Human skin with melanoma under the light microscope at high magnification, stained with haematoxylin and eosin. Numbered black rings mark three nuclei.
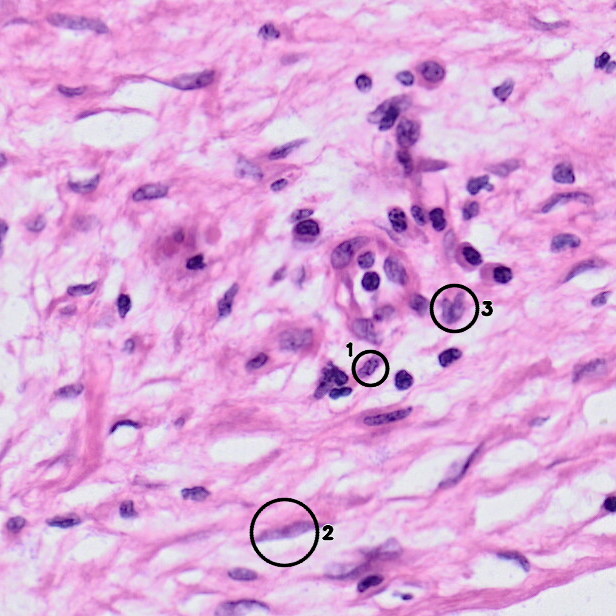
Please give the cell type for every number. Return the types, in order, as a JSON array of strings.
["macrophage or monocyte", "fibroblast or myofibroblast", "macrophage or monocyte"]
